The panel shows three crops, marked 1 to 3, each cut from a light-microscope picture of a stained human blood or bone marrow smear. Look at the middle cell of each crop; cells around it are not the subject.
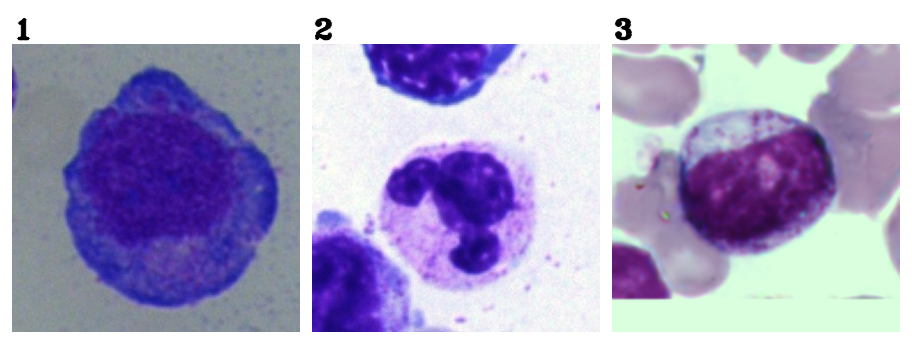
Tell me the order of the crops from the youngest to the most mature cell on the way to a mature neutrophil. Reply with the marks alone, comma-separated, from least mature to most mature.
1, 3, 2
